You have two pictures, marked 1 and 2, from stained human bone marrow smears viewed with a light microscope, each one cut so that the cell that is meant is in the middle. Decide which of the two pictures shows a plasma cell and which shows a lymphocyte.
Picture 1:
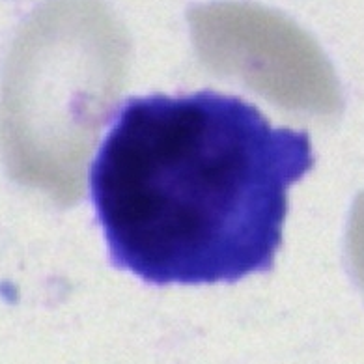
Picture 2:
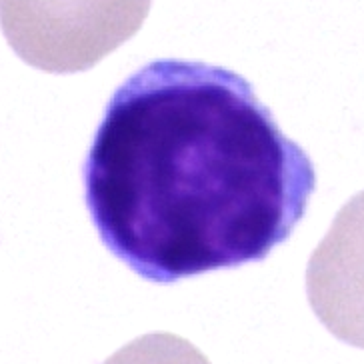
1: plasma cell
2: lymphocyte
